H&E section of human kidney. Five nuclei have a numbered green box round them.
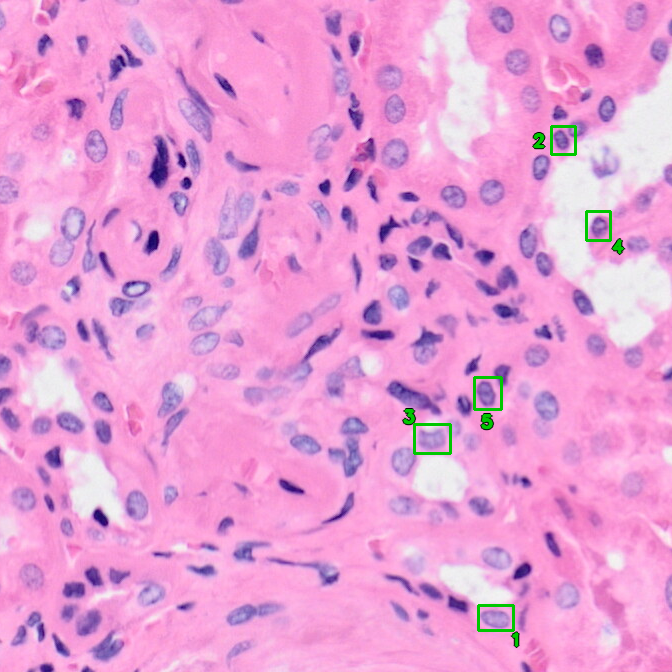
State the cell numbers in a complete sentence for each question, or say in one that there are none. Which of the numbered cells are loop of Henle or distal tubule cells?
The cells identified by the numbers 2 and 4 are loop of Henle or distal tubule cells.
